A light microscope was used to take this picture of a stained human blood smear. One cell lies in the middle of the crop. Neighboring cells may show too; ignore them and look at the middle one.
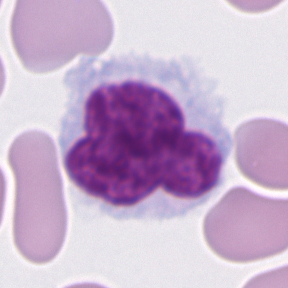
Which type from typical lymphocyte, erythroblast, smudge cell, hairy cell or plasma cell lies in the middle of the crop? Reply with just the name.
hairy cell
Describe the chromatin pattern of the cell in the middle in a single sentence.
The key point is fine chromatin with no coarse clumps.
